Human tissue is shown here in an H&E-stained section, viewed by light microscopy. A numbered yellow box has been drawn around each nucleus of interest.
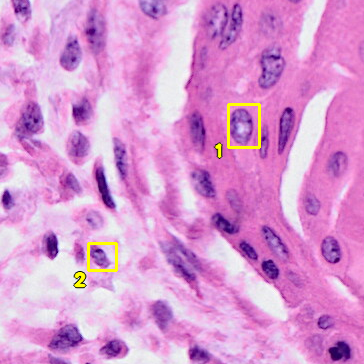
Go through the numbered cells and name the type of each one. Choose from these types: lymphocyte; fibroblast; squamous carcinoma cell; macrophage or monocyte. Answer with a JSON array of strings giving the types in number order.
["squamous carcinoma cell", "fibroblast"]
